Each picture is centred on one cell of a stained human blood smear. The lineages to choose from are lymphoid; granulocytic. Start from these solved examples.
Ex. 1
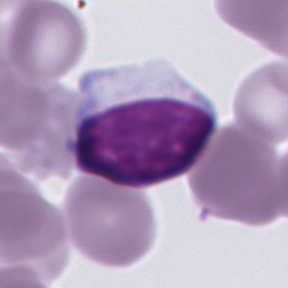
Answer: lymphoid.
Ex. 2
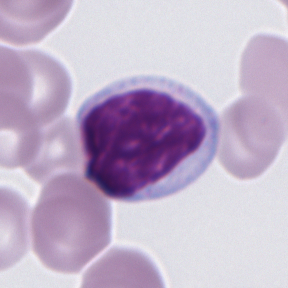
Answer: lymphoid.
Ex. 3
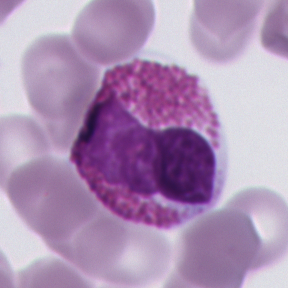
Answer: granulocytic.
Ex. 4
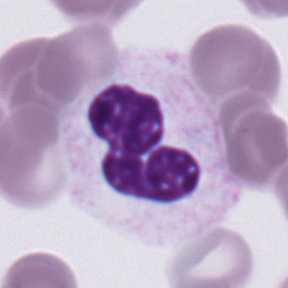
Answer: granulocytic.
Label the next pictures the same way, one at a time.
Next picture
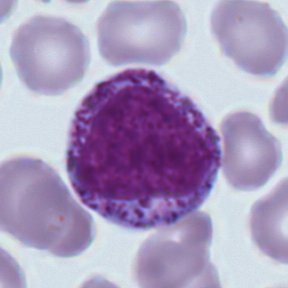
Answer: granulocytic.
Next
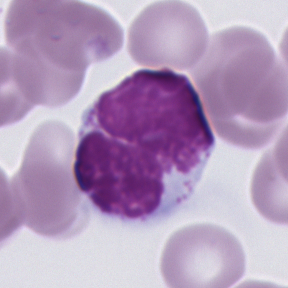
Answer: lymphoid.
